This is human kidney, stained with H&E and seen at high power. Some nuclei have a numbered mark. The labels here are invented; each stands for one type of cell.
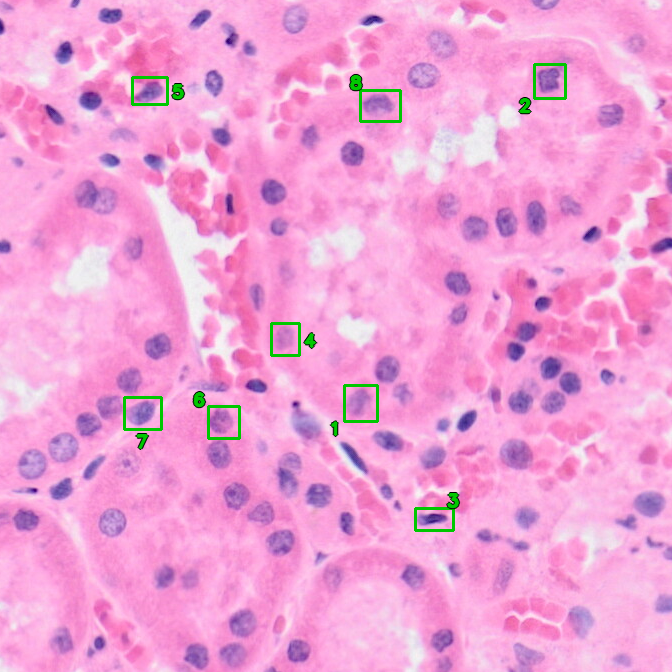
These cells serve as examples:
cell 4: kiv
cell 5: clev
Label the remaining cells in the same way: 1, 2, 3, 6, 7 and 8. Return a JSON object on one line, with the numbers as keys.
{"1": "kiv", "2": "kiv", "3": "clev", "6": "kiv", "7": "clev", "8": "kiv"}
